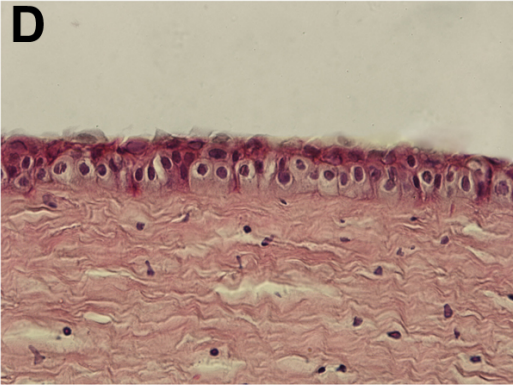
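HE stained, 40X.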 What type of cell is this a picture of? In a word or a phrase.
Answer: Epithelial cells.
